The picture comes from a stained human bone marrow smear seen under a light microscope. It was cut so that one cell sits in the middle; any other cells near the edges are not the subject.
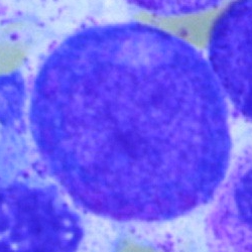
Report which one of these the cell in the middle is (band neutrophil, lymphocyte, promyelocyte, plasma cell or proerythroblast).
promyelocyte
